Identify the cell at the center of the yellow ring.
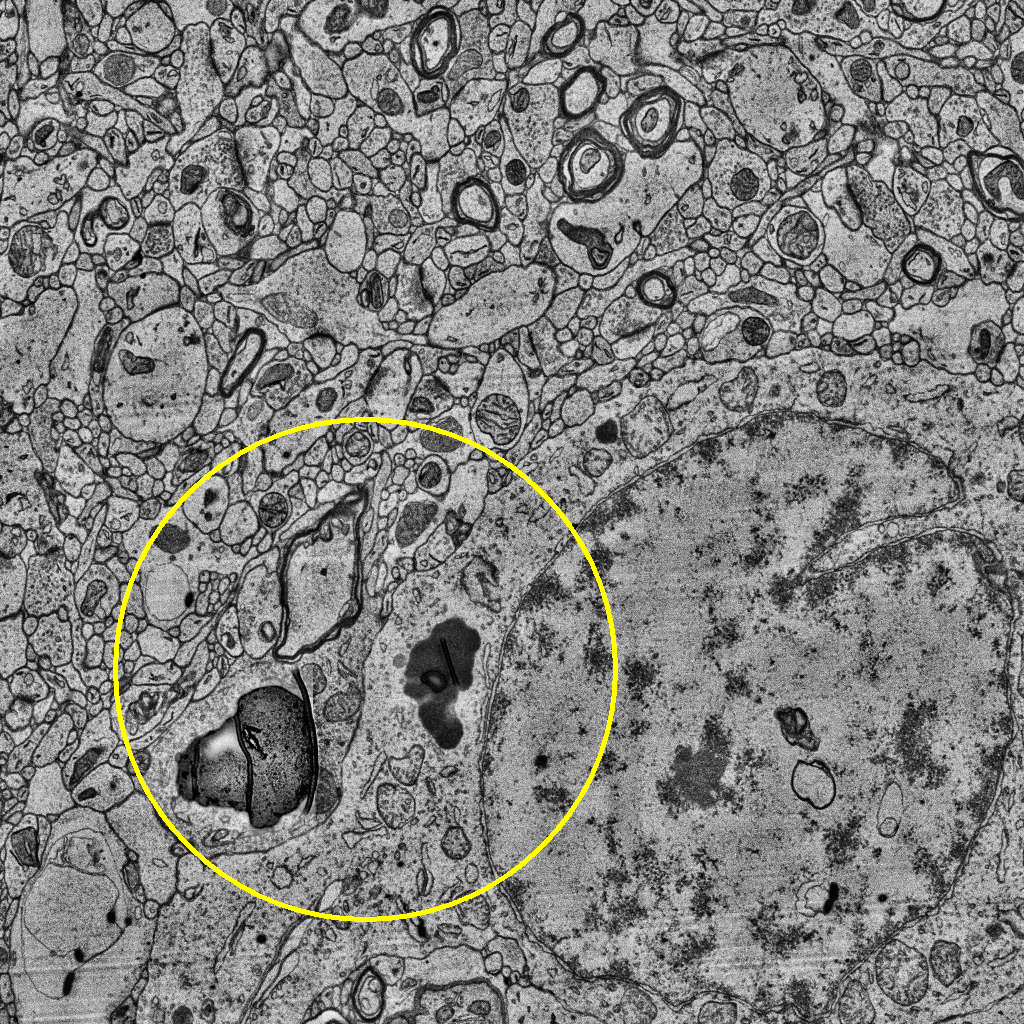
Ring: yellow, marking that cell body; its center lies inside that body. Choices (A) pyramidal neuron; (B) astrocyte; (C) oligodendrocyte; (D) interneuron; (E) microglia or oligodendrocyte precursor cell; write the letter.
C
